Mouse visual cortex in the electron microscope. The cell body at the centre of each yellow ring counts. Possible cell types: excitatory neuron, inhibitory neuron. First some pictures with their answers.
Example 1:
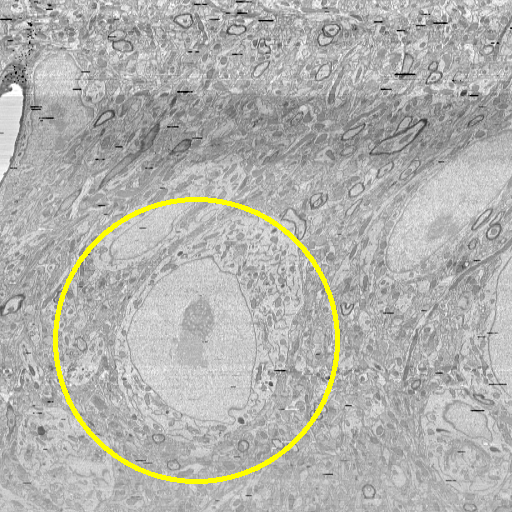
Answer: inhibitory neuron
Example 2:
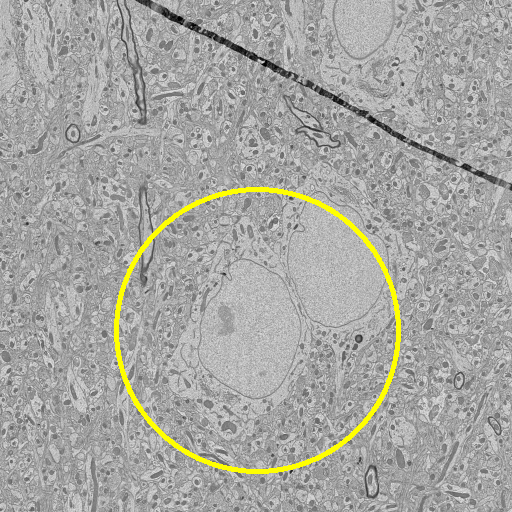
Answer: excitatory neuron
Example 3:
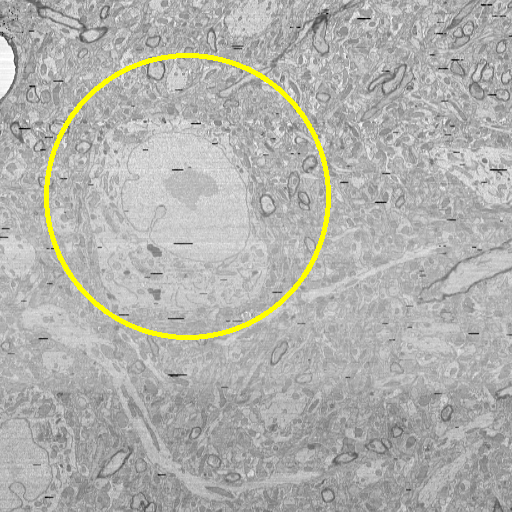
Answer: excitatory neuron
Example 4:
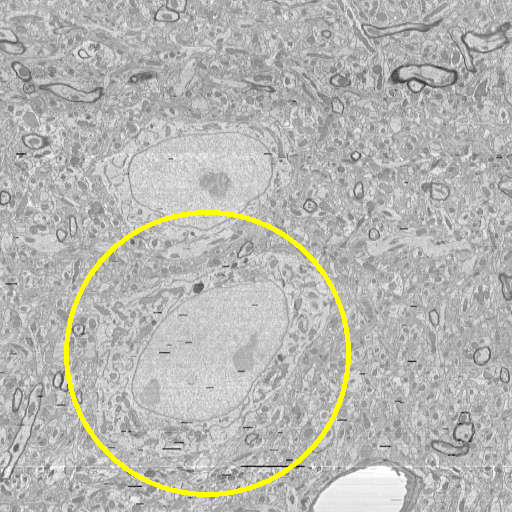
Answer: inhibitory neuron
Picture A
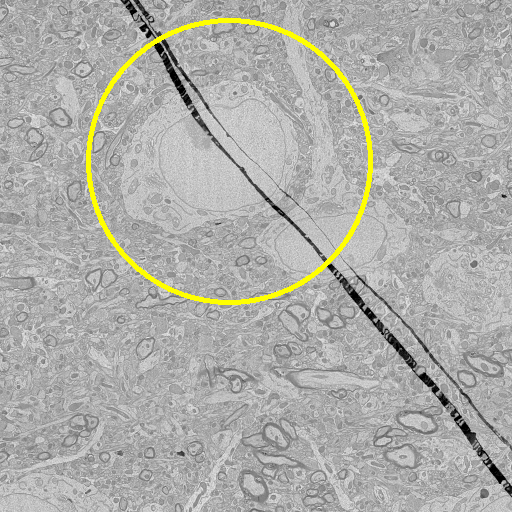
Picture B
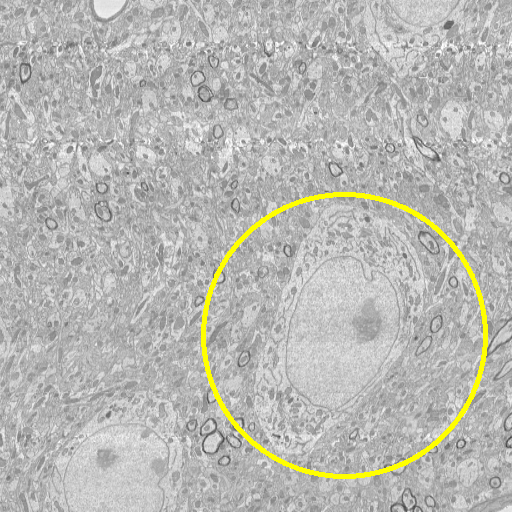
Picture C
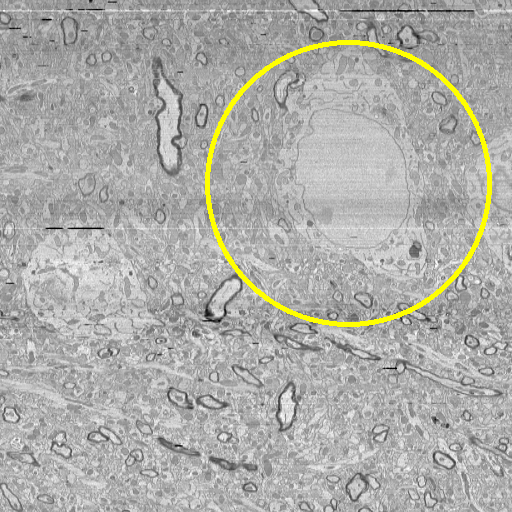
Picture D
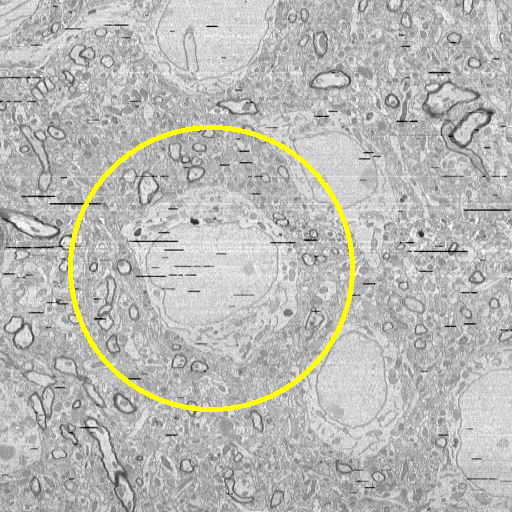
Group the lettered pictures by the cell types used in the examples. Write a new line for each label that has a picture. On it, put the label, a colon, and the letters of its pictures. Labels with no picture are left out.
excitatory neuron: A, C, D
inhibitory neuron: B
